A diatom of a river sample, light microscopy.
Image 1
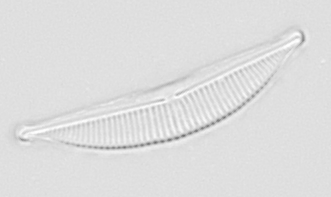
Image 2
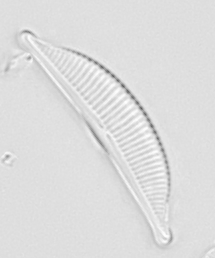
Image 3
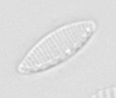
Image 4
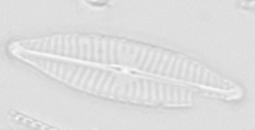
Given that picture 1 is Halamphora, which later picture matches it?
2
